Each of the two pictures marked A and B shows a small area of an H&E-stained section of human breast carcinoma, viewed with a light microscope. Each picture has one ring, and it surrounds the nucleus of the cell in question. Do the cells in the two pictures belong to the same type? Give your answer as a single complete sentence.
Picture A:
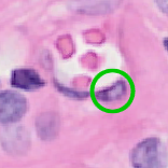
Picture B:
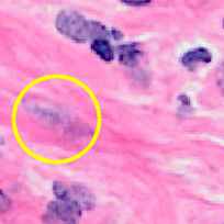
No; the cell in picture A is an endothelial cell, while the one in picture B is a fibroblast.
